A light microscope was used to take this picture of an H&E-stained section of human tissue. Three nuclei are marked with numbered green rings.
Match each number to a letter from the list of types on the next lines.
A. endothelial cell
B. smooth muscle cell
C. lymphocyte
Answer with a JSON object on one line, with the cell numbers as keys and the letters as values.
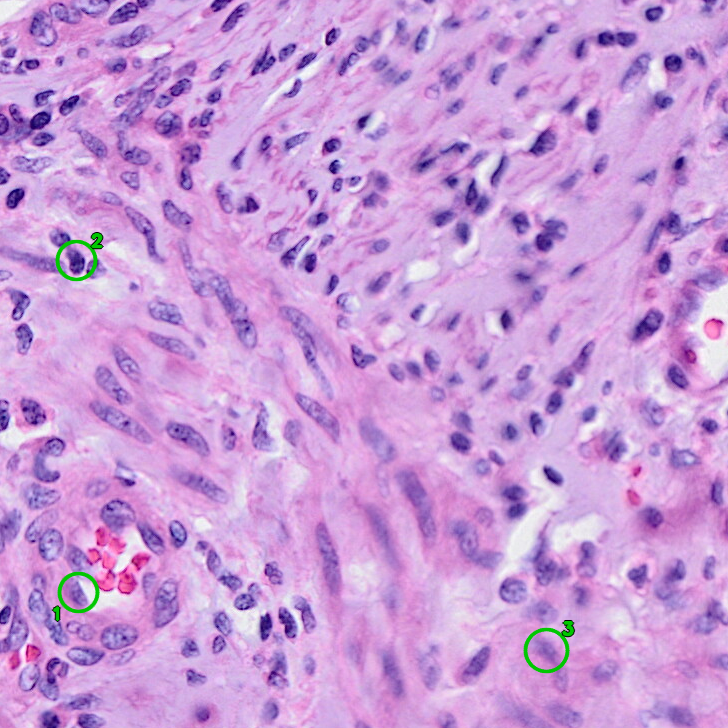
{"1": "A", "2": "C", "3": "B"}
